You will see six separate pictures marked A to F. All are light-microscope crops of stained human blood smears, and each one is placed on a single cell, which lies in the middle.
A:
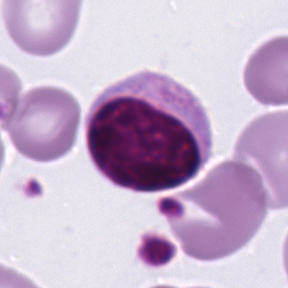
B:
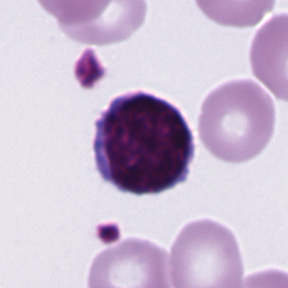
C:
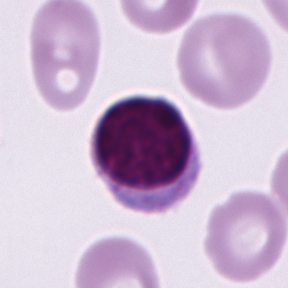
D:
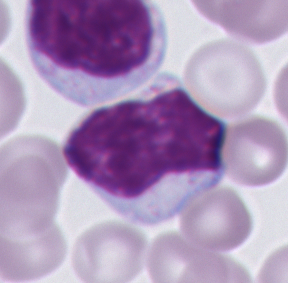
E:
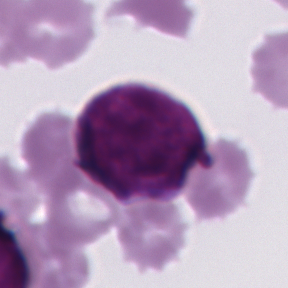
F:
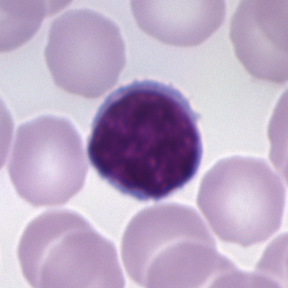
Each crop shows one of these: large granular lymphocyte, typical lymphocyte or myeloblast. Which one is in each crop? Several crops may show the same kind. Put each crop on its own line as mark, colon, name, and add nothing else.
A: large granular lymphocyte
B: typical lymphocyte
C: typical lymphocyte
D: large granular lymphocyte
E: myeloblast
F: typical lymphocyte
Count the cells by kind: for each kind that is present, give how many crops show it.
typical lymphocyte: 3
large granular lymphocyte: 2
myeloblast: 1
